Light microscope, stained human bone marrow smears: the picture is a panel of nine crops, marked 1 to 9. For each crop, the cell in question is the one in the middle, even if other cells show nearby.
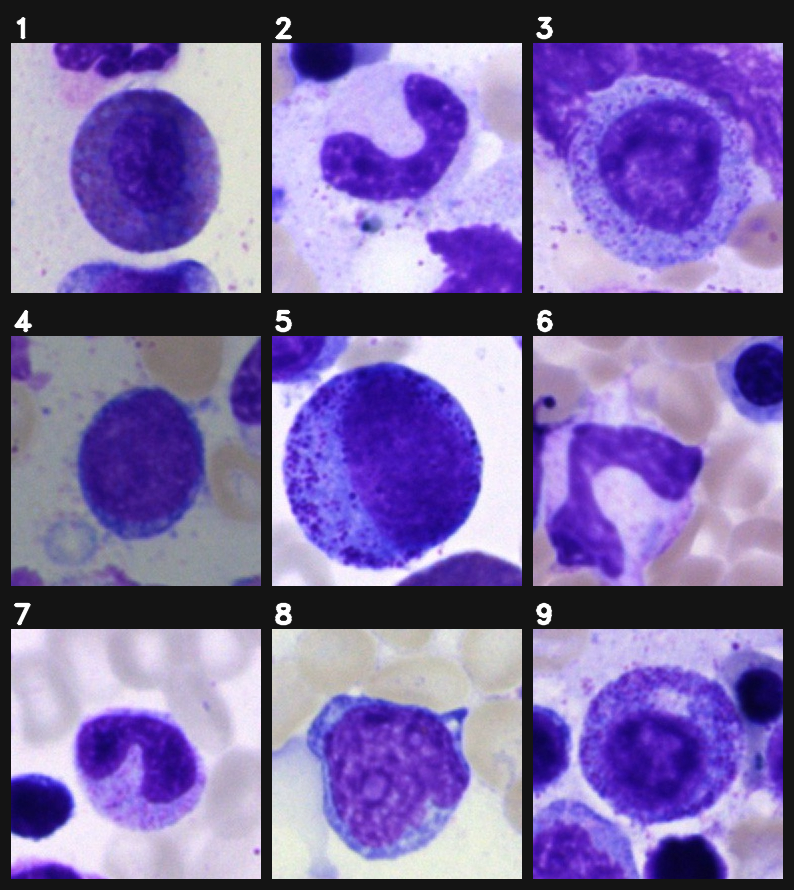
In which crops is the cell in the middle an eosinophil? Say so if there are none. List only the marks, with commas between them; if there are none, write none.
1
